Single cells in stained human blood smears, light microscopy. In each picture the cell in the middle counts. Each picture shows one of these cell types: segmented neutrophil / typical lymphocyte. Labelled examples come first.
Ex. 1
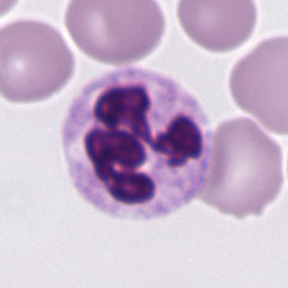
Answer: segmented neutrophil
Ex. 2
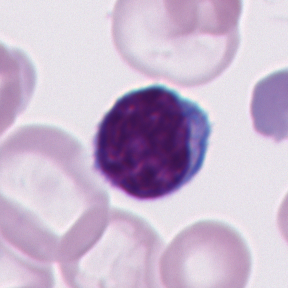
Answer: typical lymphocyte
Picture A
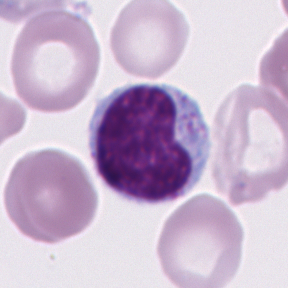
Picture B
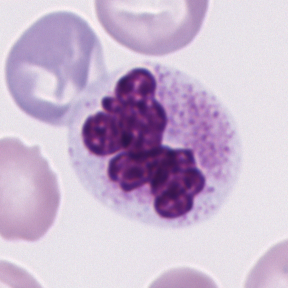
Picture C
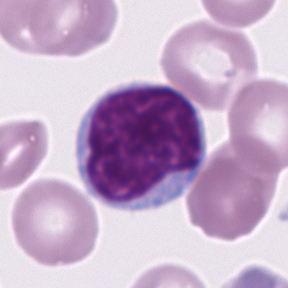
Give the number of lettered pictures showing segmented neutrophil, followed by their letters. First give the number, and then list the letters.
1, namely B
